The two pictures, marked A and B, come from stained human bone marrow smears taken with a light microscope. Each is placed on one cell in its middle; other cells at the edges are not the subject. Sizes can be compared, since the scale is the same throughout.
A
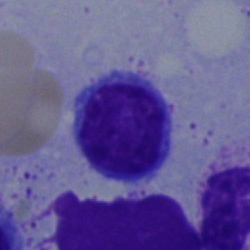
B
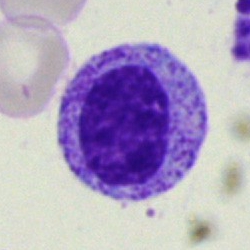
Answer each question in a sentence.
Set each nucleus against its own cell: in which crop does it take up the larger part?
The nucleus fills more of the cell in crop A than in crop B.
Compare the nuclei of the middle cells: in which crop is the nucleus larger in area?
It is the nucleus in crop B, about 1.5 times as large in area as the one in crop A.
